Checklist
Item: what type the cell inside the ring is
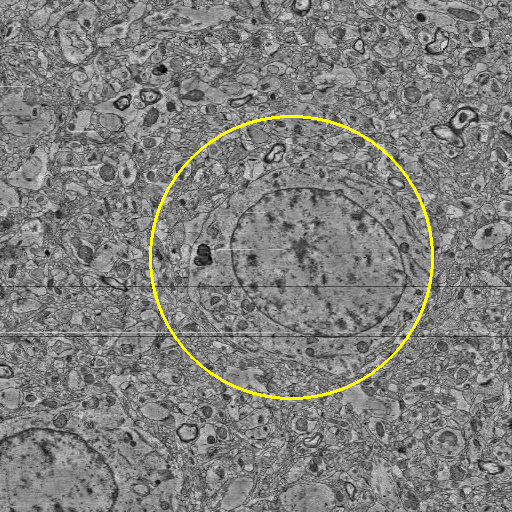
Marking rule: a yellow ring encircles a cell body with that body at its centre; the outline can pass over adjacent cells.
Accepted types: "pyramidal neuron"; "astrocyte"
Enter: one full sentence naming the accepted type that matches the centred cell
The entry is that a pyramidal neuron lies at the centre of the yellow ring.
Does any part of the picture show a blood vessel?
No, the image shows no blood vessel.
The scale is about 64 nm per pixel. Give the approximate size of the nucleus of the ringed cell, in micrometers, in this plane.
In this plane the nucleus measures roughly 12 by 10 micrometres.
